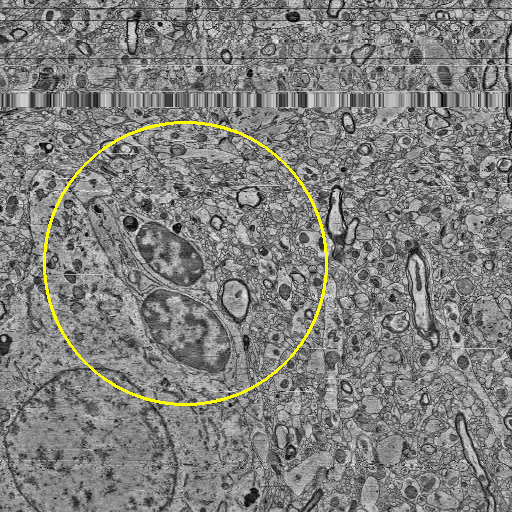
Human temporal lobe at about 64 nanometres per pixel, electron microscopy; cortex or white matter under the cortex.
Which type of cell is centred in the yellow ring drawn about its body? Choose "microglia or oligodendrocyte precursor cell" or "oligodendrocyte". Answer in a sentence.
The yellow ring surrounds the cell body of a microglial cell or oligodendrocyte precursor cell.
